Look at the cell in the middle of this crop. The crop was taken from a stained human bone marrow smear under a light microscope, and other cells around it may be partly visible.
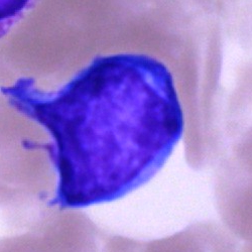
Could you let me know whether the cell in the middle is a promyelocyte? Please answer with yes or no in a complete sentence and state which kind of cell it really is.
No, the cell in the middle should be called a blast instead of a promyelocyte.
